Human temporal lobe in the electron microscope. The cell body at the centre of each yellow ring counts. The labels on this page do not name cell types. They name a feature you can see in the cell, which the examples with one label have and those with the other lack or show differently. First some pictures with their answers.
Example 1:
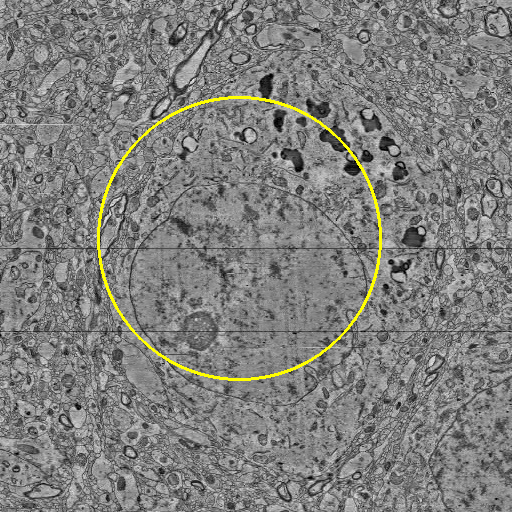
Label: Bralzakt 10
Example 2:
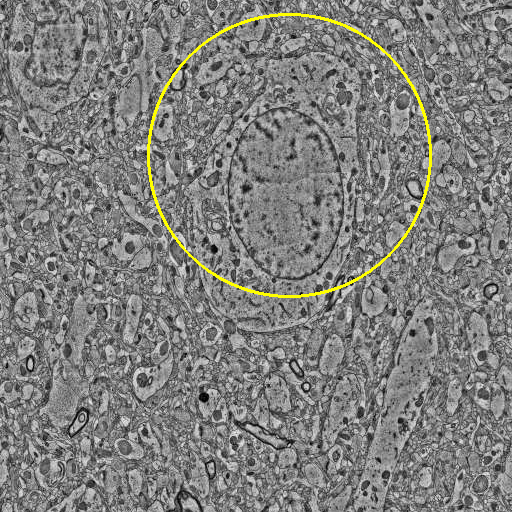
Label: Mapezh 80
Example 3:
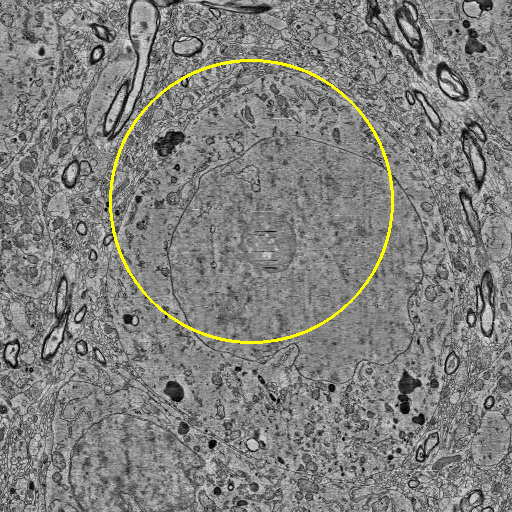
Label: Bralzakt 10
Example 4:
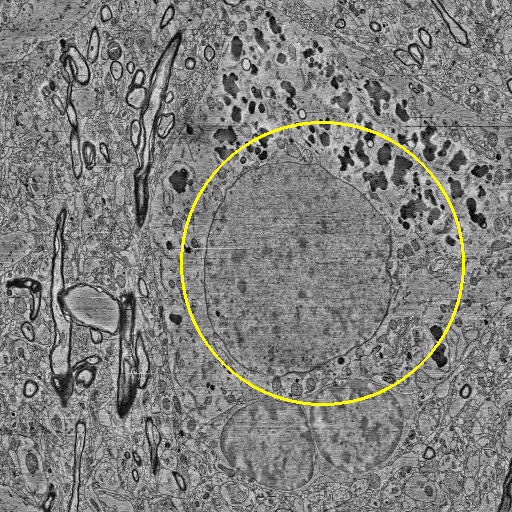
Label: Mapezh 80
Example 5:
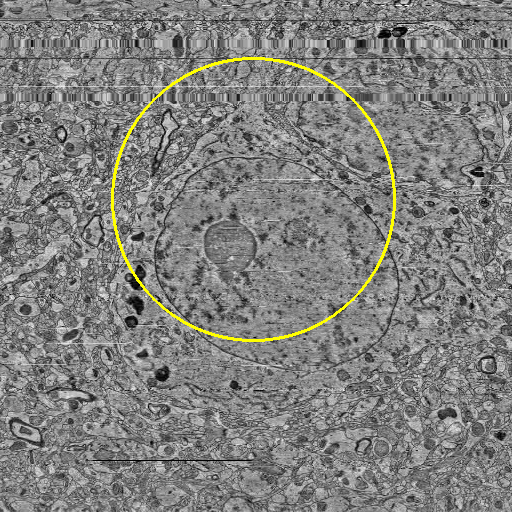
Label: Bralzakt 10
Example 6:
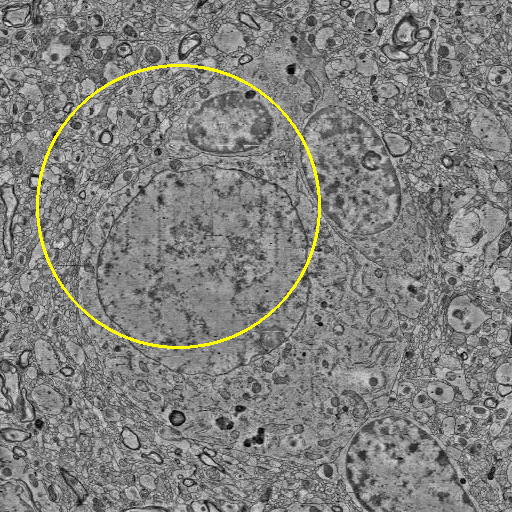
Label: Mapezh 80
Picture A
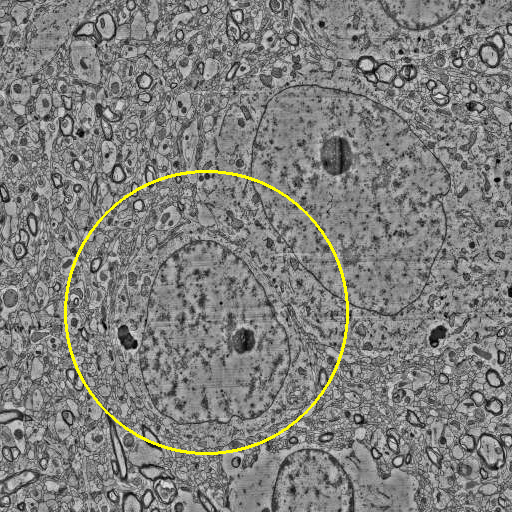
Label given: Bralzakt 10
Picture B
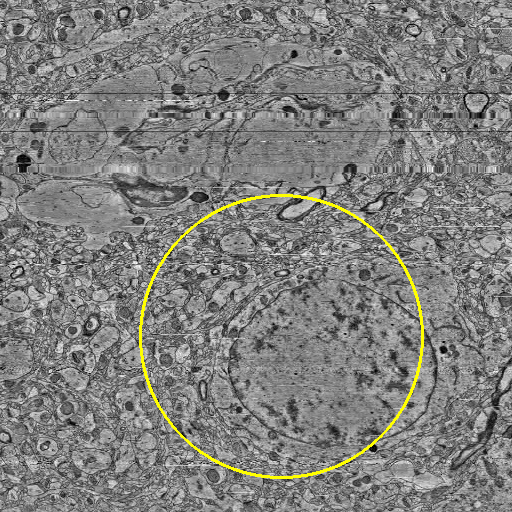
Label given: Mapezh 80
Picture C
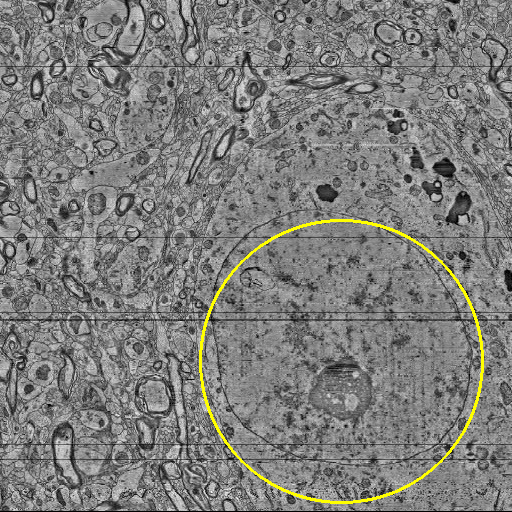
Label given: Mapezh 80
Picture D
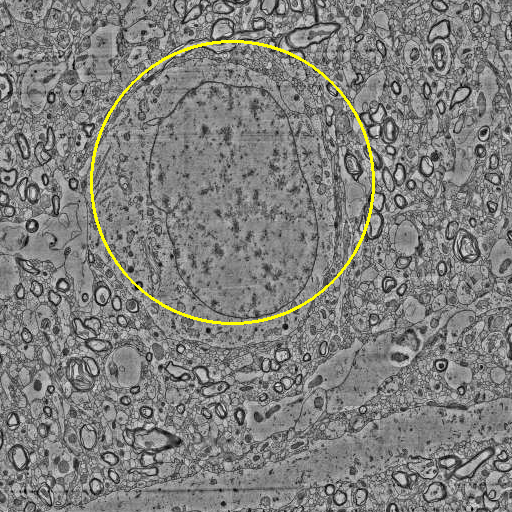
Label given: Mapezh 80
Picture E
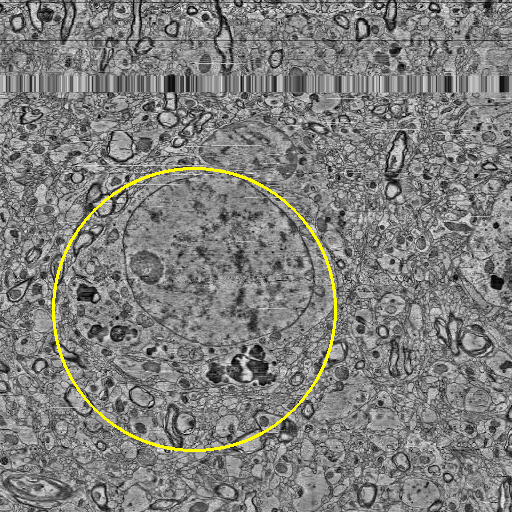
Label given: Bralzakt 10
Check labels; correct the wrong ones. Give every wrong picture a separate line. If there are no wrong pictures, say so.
C should be Bralzakt 10, not Mapezh 80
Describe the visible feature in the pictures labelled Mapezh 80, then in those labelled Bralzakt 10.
Mapezh 80: no nucleolus seen; Bralzakt 10: nucleolus seen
